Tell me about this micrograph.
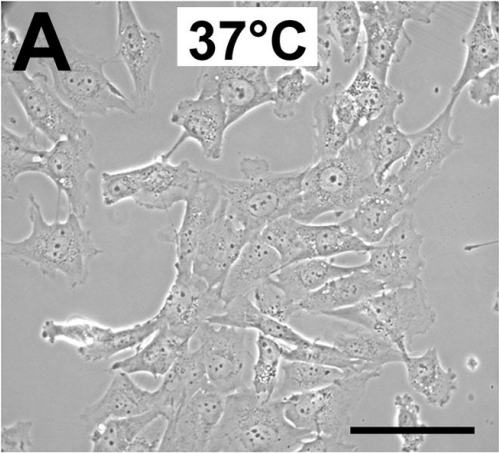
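Cultured adherent cells seen by phase contrast, spread flat on the dish in loose groups with open stretches of empty substrate between them. The cells are polygonal to spindle-shaped, with thin, pale lamellar margins and a few slender extensions. Fine dark granules crowd the cytoplasm around the nucleus, while the periphery is smooth and thin. Neighbouring cells touch at their edges but do not pile up. Few bright, rounded cells are visible.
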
